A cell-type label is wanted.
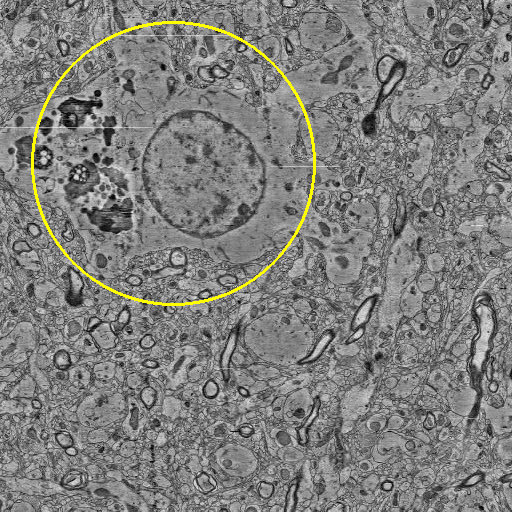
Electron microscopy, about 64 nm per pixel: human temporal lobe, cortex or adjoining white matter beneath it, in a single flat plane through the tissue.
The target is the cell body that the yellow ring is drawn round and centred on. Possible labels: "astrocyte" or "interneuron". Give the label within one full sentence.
Of the labels offered, the cell in the middle of the yellow ring is an astrocyte.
